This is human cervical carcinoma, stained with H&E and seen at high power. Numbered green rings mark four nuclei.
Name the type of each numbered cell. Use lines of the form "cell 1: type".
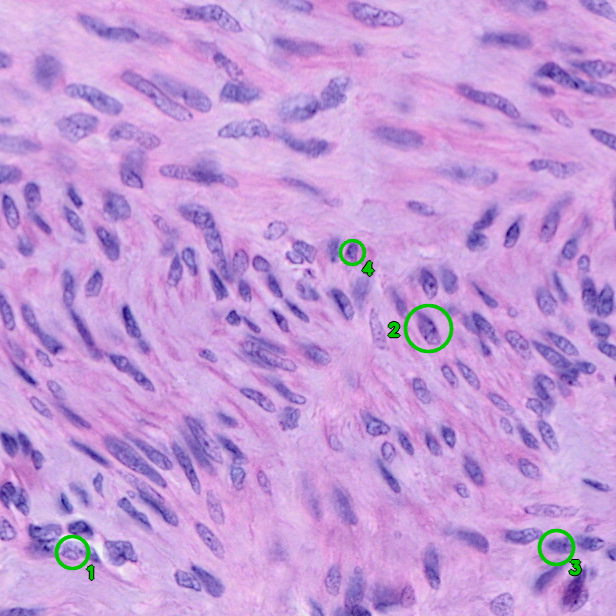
cell 1: endothelial cell
cell 2: smooth muscle cell
cell 3: fibroblast
cell 4: smooth muscle cell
